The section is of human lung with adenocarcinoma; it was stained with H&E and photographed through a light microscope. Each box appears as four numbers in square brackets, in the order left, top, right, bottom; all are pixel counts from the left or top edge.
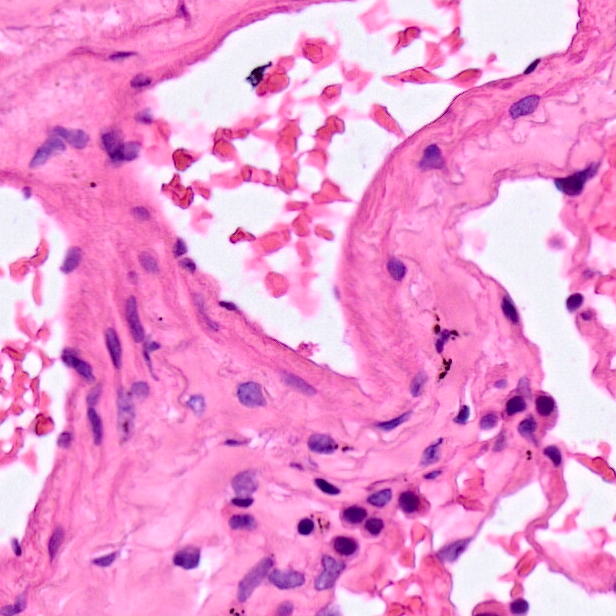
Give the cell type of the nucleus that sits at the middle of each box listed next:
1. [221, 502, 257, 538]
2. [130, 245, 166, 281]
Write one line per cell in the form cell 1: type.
cell 1: mast cell
cell 2: smooth muscle cell or pericyte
